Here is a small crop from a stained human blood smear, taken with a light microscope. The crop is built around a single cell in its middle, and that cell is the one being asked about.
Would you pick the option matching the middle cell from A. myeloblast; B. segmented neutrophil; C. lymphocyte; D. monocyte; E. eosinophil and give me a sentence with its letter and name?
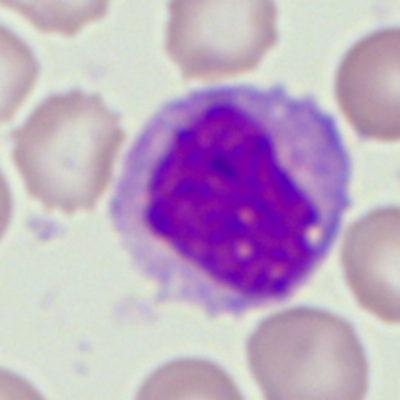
In this crop the middle cell is a monocyte, so option D is the correct answer.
